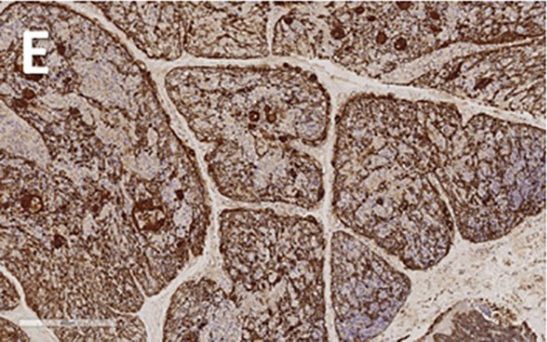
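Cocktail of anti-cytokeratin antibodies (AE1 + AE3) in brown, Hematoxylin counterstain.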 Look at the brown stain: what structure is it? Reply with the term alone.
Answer: Thymic epithelial network.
